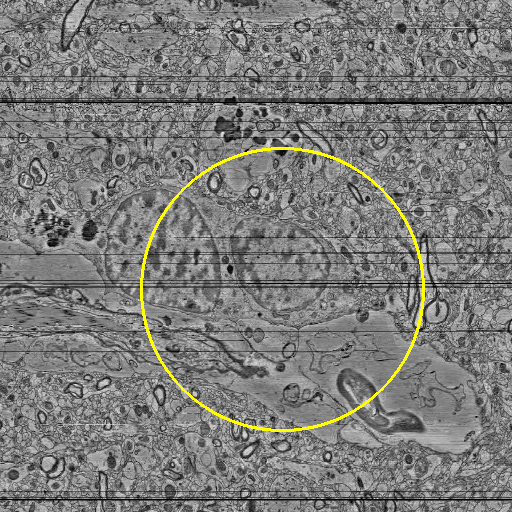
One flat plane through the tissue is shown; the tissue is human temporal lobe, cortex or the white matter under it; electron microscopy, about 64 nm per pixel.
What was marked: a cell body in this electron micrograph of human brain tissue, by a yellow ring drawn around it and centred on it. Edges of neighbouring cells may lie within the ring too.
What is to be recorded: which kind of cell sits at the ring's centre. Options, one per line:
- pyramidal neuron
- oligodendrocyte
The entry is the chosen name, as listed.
oligodendrocyte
